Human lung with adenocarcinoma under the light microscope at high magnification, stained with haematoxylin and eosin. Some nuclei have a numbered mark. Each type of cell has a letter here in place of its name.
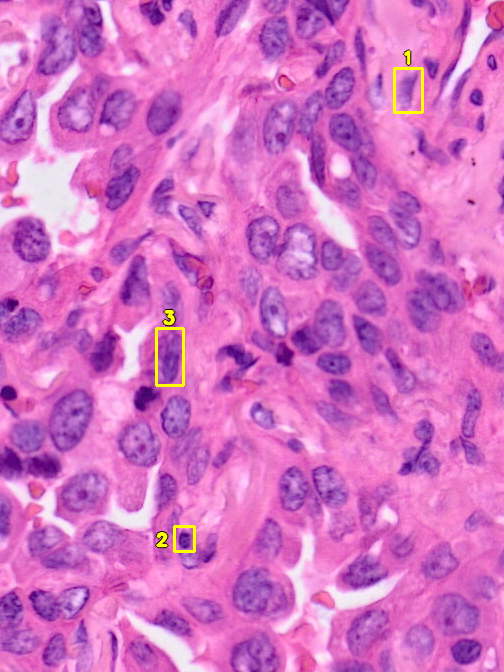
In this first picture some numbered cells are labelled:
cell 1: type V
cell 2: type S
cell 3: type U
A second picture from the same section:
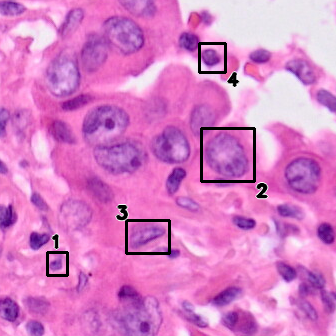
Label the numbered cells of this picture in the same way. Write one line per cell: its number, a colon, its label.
1: type S
2: type U
3: type V
4: type S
